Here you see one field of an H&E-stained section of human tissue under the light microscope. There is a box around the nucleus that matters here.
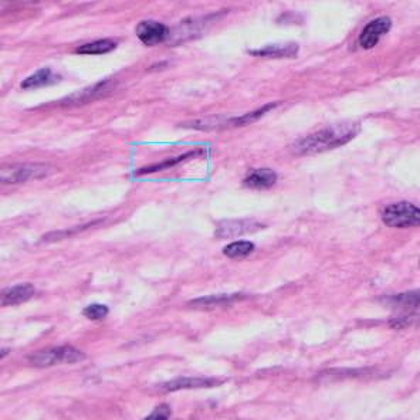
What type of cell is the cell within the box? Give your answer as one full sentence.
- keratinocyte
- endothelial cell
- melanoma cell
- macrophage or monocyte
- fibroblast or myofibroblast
In this section, the cell within the box is a fibroblast or myofibroblast.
